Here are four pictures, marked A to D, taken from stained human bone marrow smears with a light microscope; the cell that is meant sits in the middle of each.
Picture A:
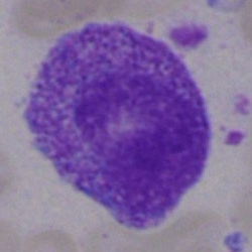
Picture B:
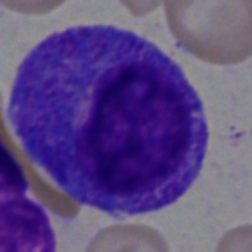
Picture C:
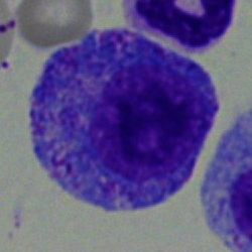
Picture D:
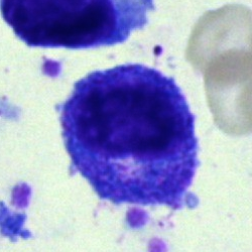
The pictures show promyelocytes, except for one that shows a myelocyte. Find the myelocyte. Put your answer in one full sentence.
The cell in picture A is the myelocyte.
